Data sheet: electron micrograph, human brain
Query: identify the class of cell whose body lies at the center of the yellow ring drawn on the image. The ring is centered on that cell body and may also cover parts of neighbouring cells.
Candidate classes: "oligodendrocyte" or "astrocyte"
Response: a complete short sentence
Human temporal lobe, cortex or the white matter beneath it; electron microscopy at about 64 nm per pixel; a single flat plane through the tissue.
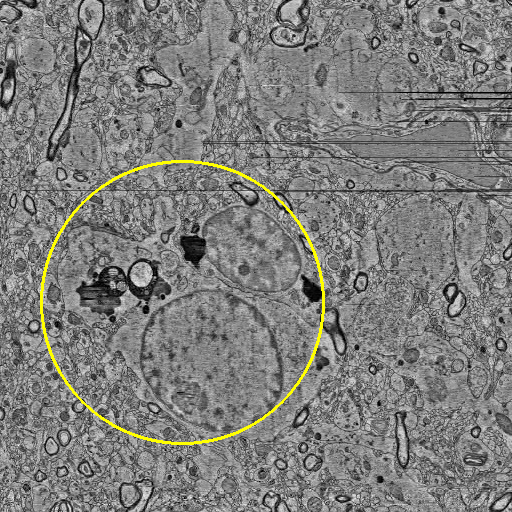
At the center of the ring lies an astrocyte.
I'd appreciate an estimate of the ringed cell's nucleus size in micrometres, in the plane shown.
The nucleus comes to roughly 9 micrometres across in this plane.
